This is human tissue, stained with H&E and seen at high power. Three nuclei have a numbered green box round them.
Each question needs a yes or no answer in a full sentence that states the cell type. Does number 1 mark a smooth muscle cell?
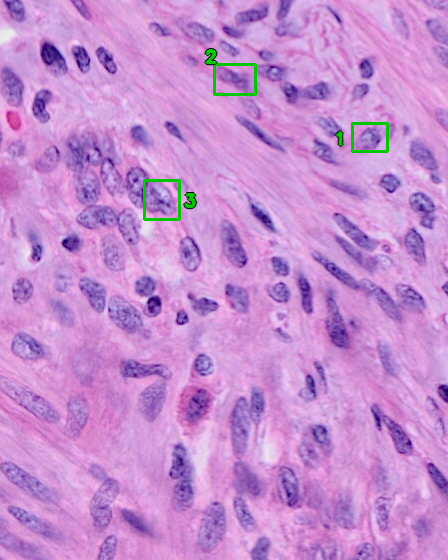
Yes, the cell to which number 1 refers is a smooth muscle cell.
